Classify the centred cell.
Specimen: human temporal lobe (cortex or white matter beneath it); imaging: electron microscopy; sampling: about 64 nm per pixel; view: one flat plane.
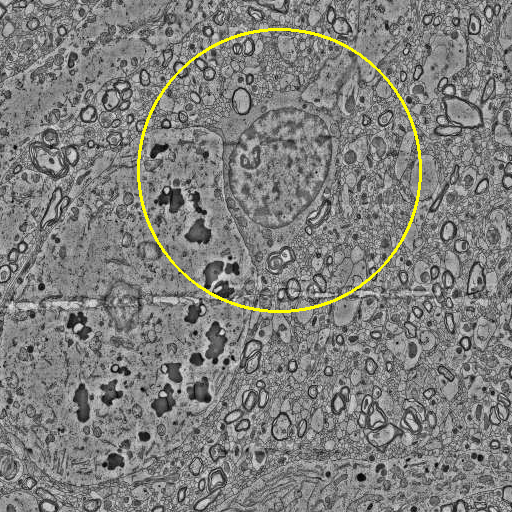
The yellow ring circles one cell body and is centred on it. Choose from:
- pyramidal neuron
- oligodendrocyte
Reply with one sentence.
The ring is centred on an oligodendrocyte.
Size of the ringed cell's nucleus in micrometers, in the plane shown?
The nucleus comes to roughly 8 by 6 micrometres in this plane.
